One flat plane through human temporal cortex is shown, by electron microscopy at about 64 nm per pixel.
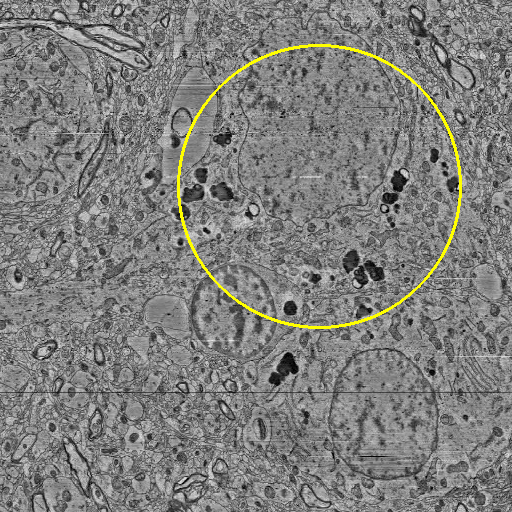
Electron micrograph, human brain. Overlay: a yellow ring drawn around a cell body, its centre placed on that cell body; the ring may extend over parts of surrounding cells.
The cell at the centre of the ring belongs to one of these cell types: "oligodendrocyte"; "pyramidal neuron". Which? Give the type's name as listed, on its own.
pyramidal neuron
